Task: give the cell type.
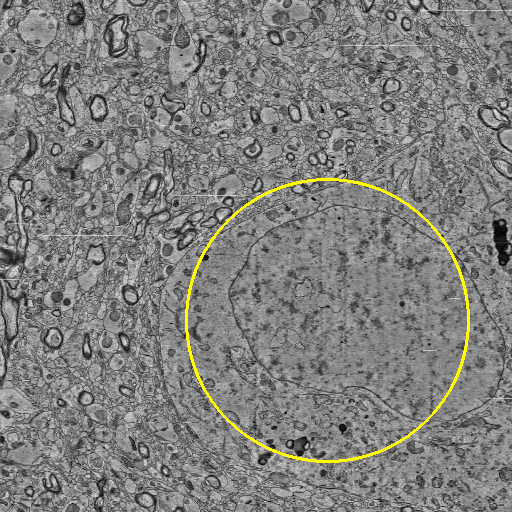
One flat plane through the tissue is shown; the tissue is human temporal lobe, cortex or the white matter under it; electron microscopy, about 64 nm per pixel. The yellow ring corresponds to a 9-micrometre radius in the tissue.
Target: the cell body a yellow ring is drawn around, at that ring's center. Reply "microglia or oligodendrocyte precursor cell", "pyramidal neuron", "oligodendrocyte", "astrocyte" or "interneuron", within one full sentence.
In this picture, the cell whose body lies at the ring's center is a pyramidal neuron.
